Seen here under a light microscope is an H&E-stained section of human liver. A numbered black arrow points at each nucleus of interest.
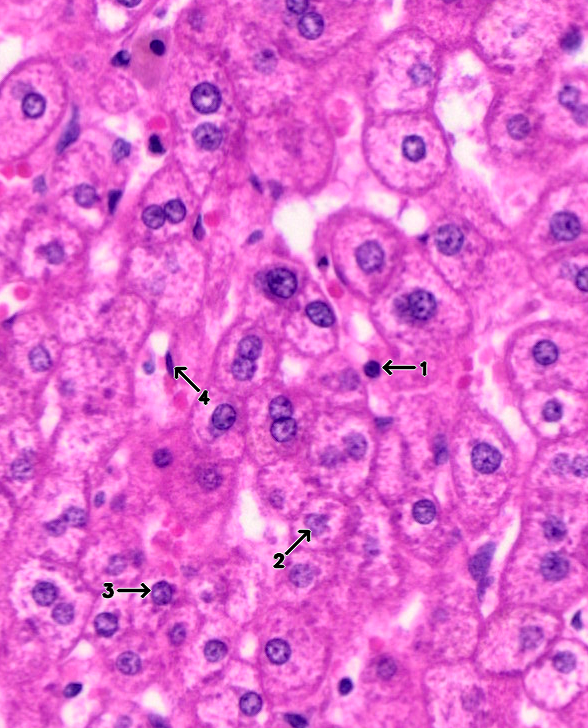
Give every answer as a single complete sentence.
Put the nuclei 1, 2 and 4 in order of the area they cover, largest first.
Going from the biggest nucleus down to the smallest gives 2, 1, 4.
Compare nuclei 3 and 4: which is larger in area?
Nucleus 3 covers more area, about 2 times as much as nucleus 4.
